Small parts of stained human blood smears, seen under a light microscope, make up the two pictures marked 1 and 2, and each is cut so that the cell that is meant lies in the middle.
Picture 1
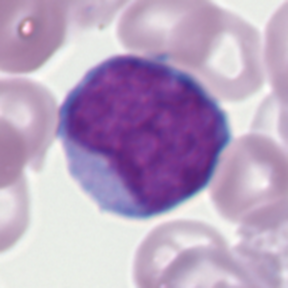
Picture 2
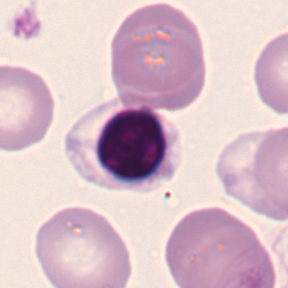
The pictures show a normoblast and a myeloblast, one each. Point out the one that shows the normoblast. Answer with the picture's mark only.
2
